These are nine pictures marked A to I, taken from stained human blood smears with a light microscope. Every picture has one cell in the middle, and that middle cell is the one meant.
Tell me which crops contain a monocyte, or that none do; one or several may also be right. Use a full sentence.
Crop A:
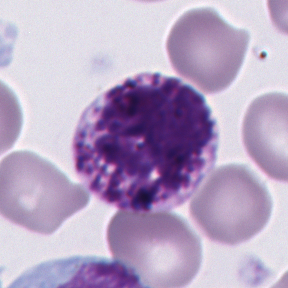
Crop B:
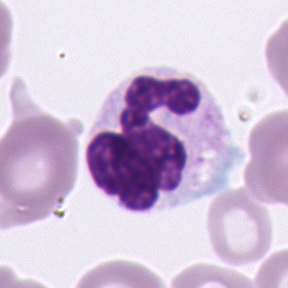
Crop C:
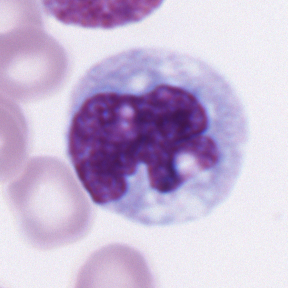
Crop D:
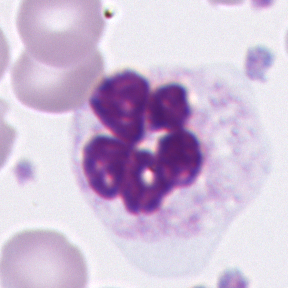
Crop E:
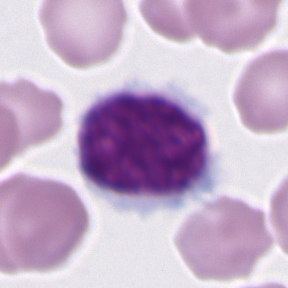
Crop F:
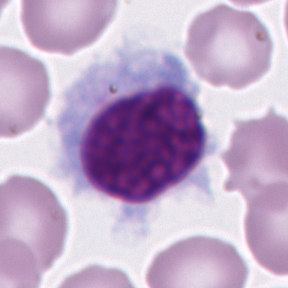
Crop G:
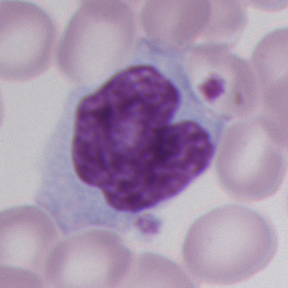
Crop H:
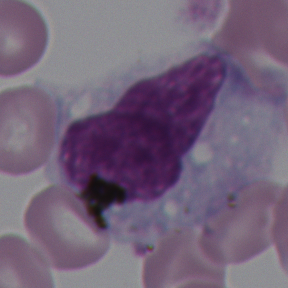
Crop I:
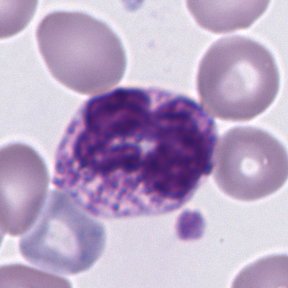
The target cells in crops C, G and H are monocytes.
